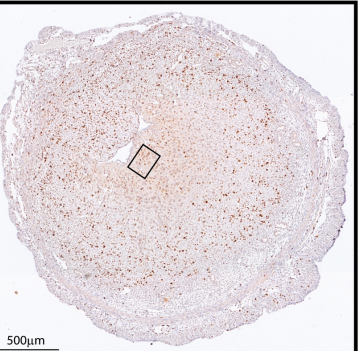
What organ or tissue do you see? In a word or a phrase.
Uterine horn.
